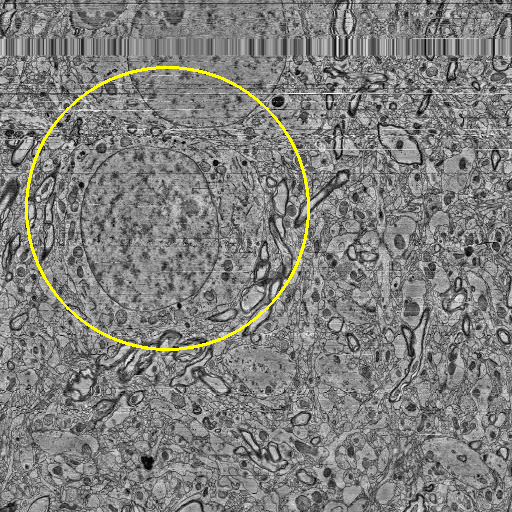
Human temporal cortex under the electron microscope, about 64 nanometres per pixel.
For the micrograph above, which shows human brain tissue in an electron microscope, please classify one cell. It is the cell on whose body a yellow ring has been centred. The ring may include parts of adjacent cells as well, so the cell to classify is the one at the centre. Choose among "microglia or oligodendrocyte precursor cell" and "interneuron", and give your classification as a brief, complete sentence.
I classify this cell as an interneuron.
